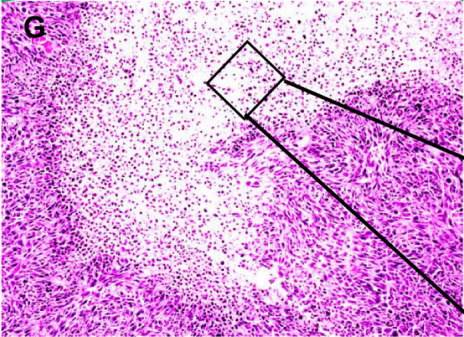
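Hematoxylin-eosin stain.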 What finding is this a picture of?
Intratumoral necrosis.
